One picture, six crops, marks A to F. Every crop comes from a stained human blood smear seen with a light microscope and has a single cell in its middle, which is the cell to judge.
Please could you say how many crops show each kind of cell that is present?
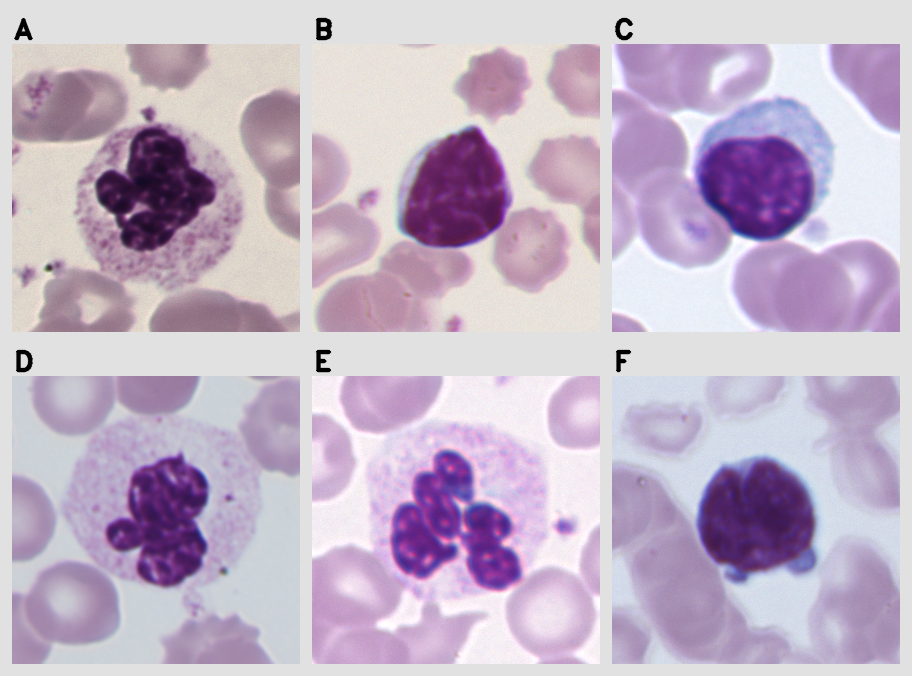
segmented neutrophil: 3
typical lymphocyte: 3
